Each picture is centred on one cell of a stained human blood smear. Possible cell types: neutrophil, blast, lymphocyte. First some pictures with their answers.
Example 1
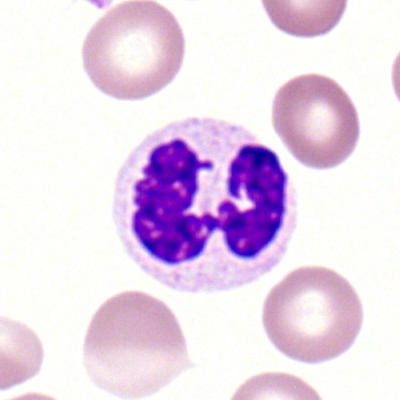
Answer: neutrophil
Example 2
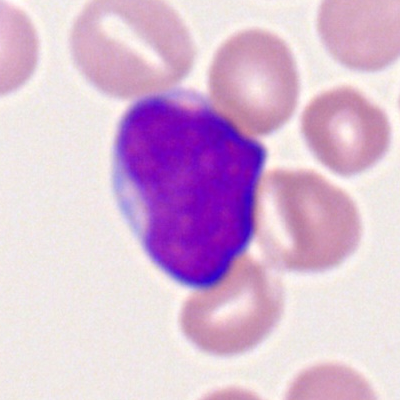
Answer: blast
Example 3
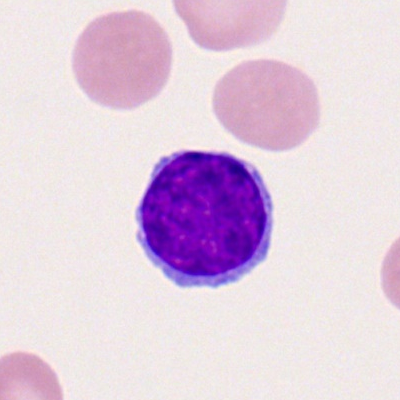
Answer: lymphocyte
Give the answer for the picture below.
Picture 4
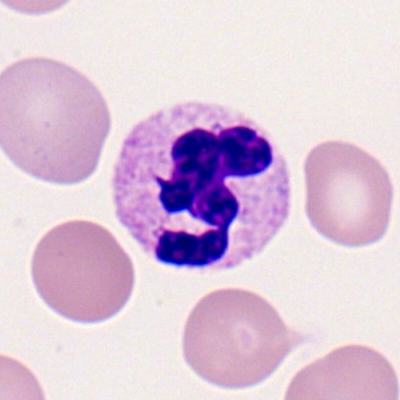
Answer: neutrophil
